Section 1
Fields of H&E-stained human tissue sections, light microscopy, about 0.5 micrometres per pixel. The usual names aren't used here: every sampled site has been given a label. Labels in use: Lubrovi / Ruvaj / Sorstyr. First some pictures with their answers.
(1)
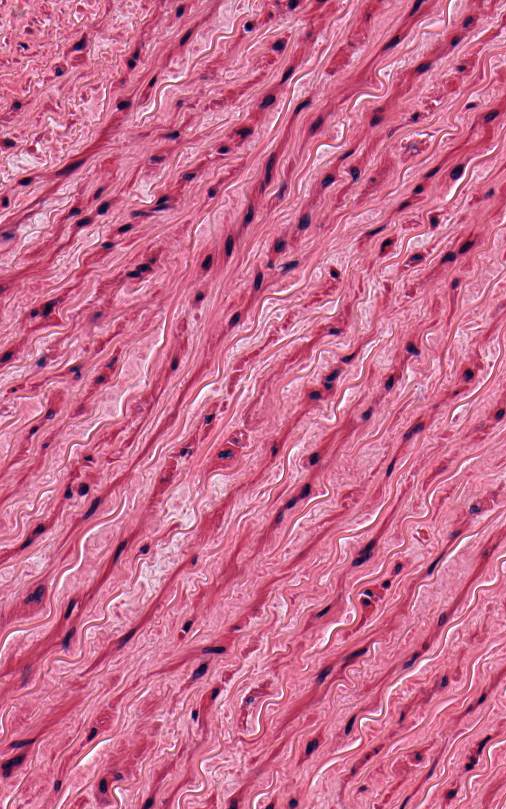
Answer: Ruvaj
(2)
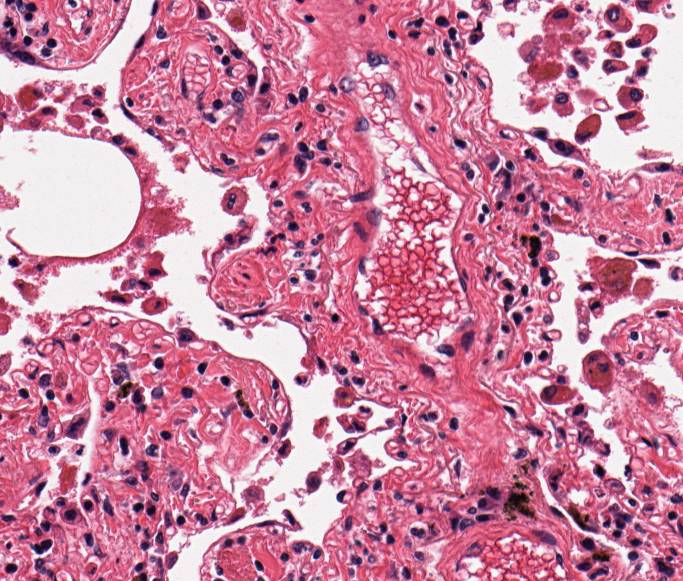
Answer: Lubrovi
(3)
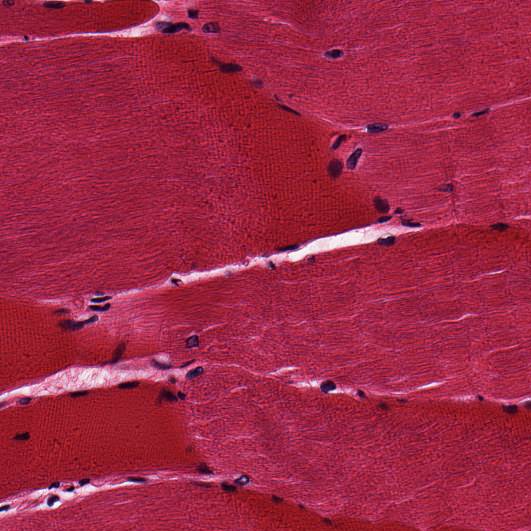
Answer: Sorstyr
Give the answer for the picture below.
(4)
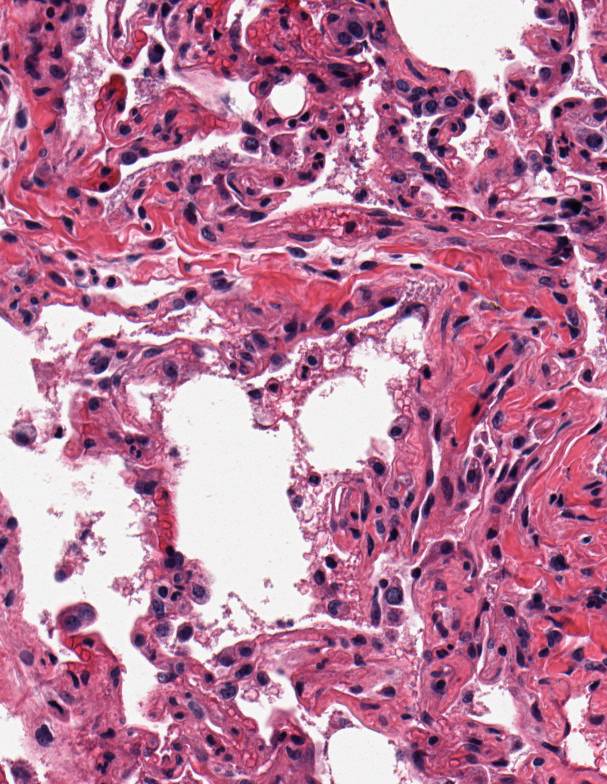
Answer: Lubrovi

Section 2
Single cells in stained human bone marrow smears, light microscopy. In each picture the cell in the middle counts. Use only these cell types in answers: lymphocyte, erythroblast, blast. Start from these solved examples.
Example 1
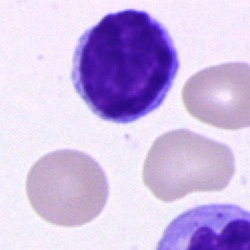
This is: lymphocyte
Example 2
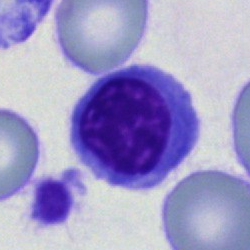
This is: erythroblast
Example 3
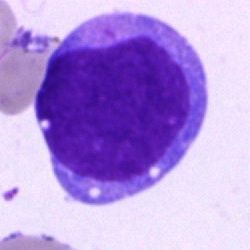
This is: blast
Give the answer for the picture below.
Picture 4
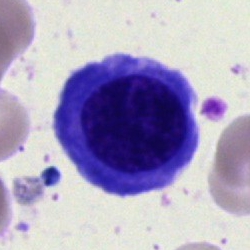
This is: erythroblast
